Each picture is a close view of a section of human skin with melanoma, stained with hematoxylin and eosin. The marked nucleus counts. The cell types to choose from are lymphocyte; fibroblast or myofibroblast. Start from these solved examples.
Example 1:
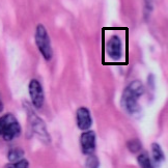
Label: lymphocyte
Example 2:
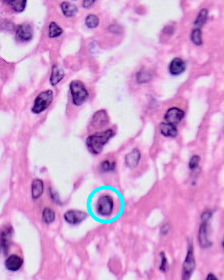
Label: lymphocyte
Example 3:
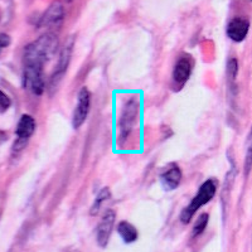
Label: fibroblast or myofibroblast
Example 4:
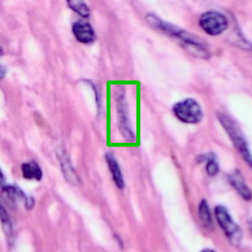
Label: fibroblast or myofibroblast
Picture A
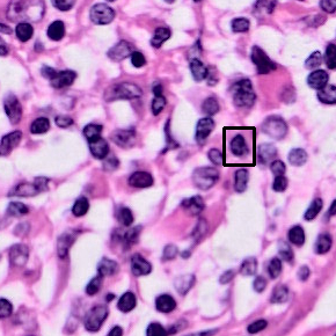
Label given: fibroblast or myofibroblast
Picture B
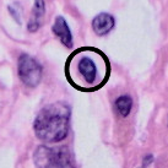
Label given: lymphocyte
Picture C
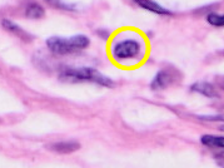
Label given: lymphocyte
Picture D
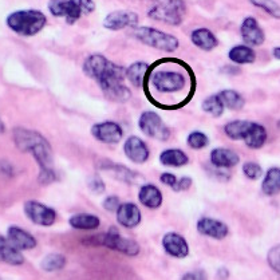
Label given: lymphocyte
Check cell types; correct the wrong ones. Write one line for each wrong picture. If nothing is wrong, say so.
A should be lymphocyte, not fibroblast or myofibroblast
